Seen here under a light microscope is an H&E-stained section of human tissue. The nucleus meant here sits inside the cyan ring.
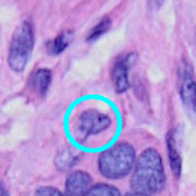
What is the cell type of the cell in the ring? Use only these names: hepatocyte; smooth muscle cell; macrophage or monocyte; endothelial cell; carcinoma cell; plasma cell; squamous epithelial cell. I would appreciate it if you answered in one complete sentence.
For the purposes of cell typing, the cell in the ring is categorized as a macrophage or monocyte.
